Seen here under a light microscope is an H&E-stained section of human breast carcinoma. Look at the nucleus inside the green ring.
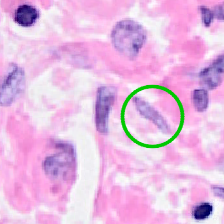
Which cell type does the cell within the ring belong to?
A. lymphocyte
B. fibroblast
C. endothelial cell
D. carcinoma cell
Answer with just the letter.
B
